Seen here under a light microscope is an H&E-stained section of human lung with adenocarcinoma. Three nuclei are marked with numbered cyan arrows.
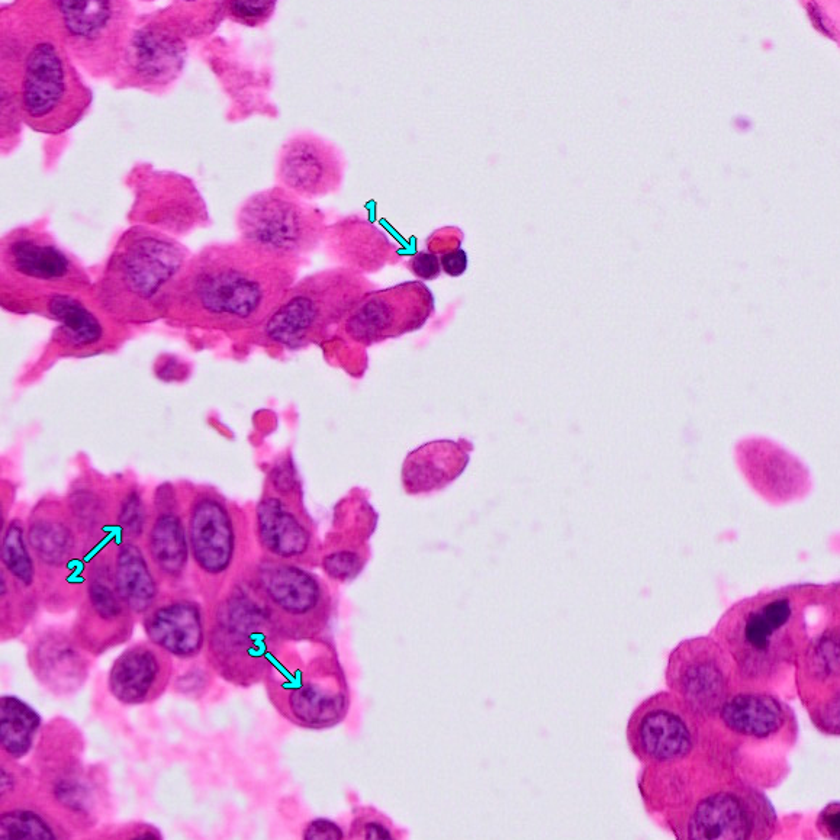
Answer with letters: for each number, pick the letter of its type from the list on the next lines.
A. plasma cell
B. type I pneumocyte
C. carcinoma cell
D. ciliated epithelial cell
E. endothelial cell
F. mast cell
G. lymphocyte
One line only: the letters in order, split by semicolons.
G; C; C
